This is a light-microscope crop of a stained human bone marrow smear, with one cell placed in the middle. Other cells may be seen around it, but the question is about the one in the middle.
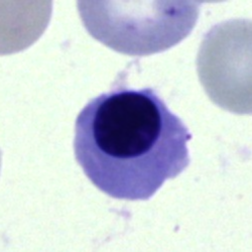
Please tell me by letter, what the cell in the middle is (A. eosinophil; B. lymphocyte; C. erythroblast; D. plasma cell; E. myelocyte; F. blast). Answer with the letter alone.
C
